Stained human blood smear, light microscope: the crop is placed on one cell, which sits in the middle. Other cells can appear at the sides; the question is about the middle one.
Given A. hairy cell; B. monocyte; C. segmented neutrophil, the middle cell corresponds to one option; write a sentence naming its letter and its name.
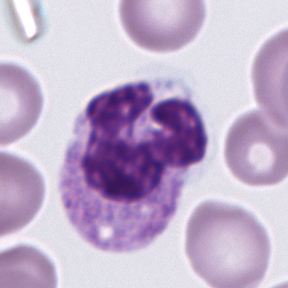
Option C is correct, and the cell in the centre is a segmented neutrophil.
